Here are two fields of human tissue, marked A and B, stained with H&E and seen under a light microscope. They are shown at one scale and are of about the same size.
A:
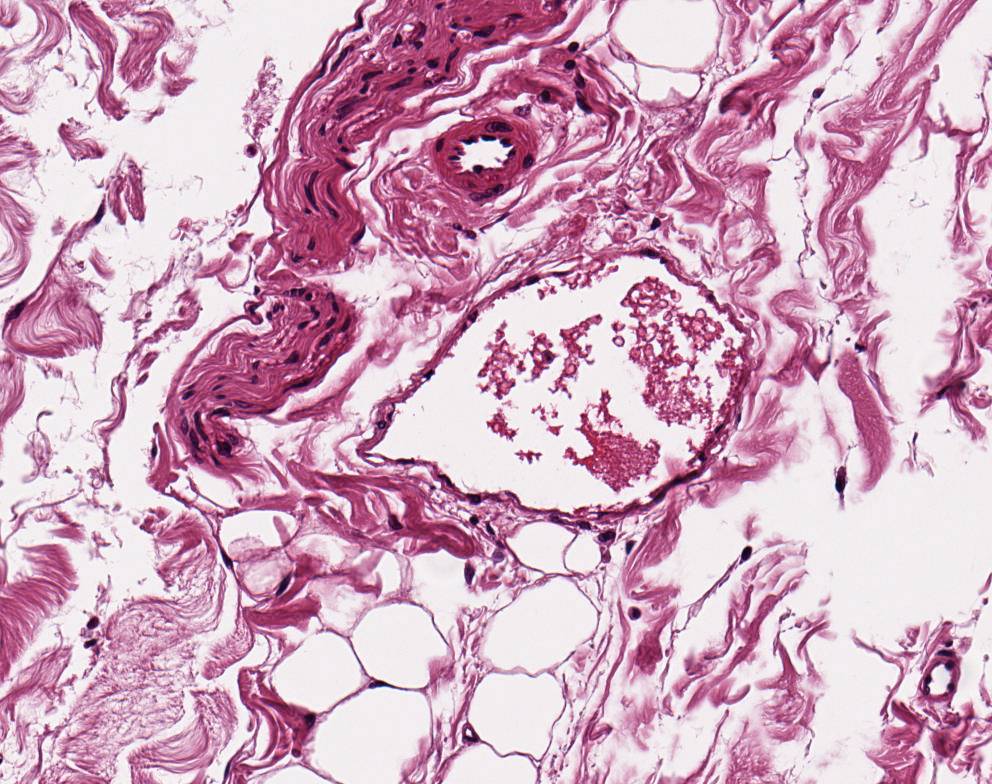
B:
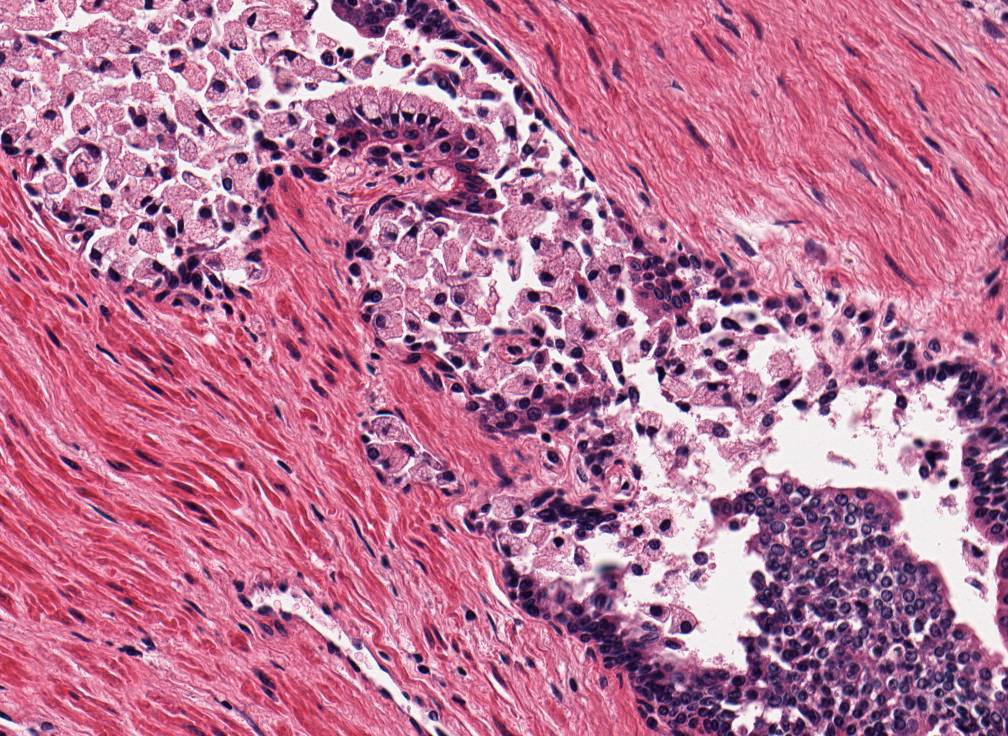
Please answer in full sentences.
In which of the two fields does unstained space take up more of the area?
It is field A in which white space covers the larger part.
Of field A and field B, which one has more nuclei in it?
The larger number of nuclei is in field B.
